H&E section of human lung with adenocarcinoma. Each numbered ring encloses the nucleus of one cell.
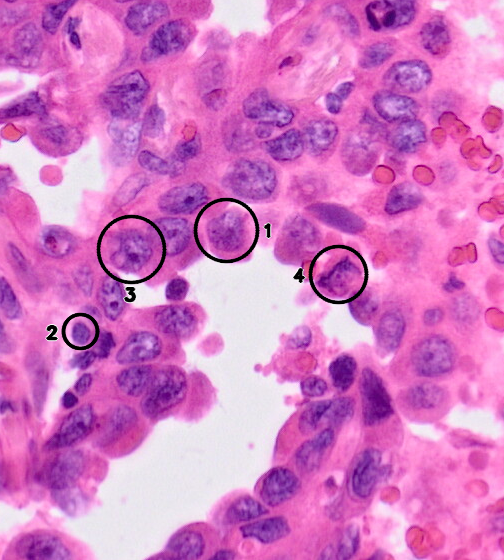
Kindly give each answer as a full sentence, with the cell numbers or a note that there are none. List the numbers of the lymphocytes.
Unlike the other numbered cells, cell 2 is a lymphocyte.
